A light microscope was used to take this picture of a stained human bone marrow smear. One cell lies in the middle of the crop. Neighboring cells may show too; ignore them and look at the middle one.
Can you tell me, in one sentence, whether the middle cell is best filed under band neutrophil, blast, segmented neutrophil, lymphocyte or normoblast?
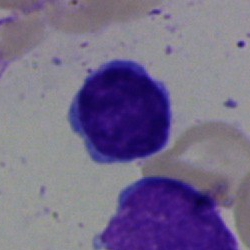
The middle of this crop is occupied by a lymphocyte.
